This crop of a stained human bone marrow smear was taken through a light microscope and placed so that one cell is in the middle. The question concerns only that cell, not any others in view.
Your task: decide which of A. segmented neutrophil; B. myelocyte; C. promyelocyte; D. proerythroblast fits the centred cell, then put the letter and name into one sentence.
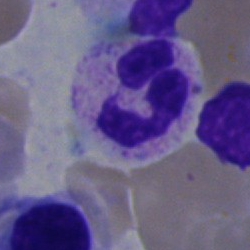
Option A is correct, naming the cell in the middle as a segmented neutrophil.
